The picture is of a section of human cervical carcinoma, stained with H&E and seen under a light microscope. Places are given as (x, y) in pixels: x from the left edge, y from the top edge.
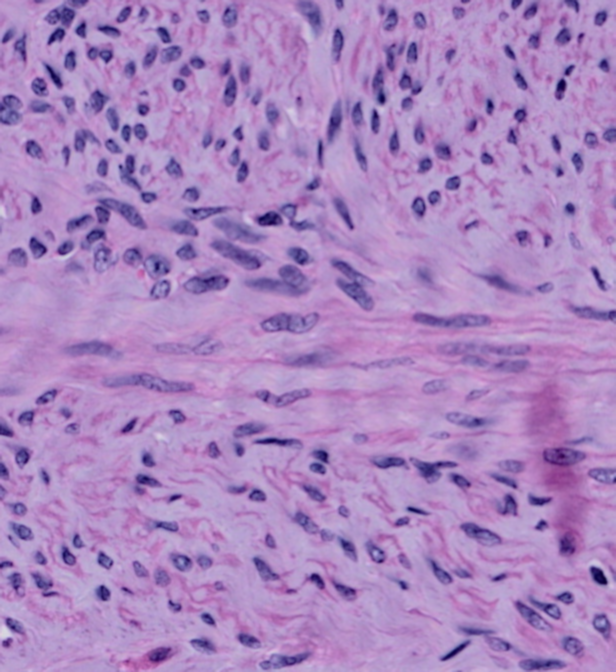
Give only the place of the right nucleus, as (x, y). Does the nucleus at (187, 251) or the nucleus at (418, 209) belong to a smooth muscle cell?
(418, 209)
